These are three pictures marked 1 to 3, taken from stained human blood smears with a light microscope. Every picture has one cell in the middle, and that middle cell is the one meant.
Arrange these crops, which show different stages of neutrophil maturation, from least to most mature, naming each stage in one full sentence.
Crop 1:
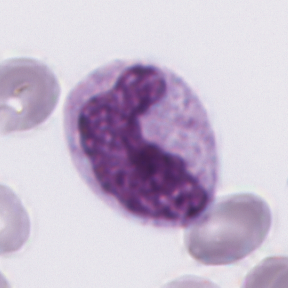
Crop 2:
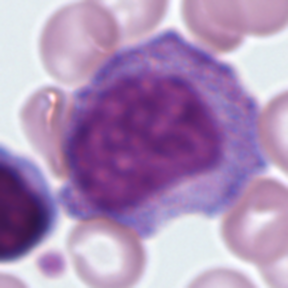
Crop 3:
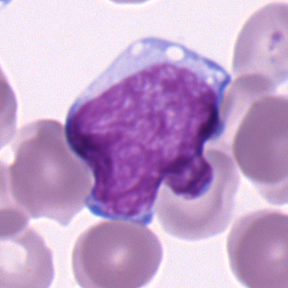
The least to most mature ordering of the crops is crop 3 (a myeloblast), crop 2 (a promyelocyte) and crop 1 (a band neutrophil).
